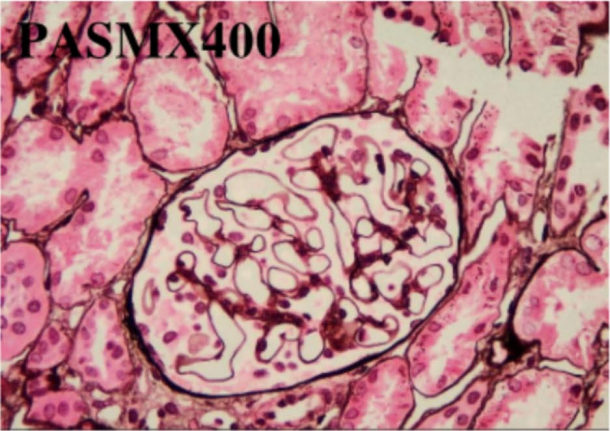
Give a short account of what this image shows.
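This is kidney tissue with a glomerulus at the centre, surrounded by cross-sectioned tubules. The capillary loops are outlined by thin black silver-stained basement membranes, and most of the loops are open. In the middle of the lobules, darker and thicker black-brown material forms branching stalks where the mesangial cells and their matrix lie, widened in some segments. The glomerulus is enclosed by a thin black capsule, and the surrounding tubules are lined by pink cuboidal cells with round purple nuclei and their own black basement membranes.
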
